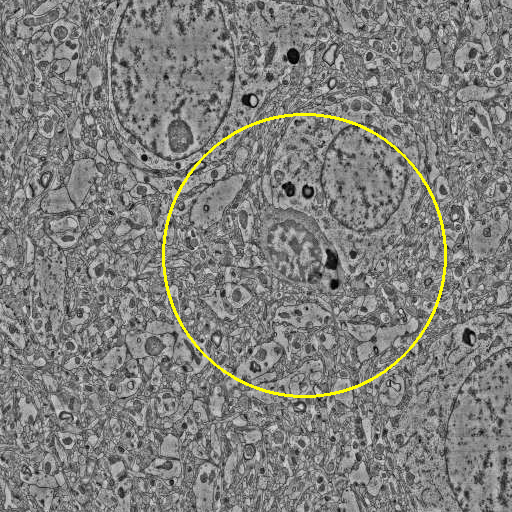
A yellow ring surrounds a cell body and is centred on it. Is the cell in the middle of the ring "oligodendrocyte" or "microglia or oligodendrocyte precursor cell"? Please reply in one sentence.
The ring is centred on an oligodendrocyte.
